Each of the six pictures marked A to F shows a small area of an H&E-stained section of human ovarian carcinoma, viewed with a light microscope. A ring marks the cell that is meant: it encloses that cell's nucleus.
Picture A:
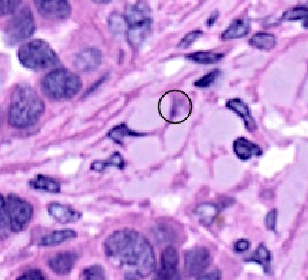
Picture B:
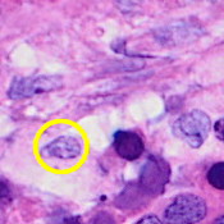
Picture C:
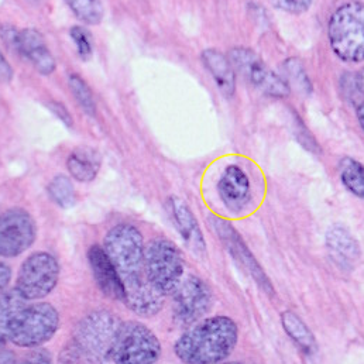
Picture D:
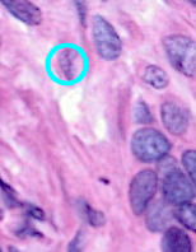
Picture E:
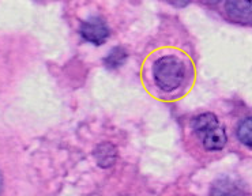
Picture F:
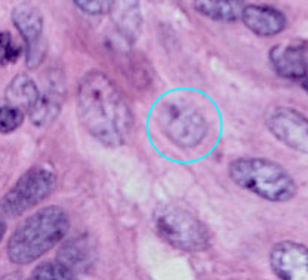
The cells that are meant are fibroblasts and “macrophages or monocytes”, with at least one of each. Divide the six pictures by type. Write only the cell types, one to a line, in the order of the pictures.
fibroblast
macrophage or monocyte
macrophage or monocyte
fibroblast
macrophage or monocyte
fibroblast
